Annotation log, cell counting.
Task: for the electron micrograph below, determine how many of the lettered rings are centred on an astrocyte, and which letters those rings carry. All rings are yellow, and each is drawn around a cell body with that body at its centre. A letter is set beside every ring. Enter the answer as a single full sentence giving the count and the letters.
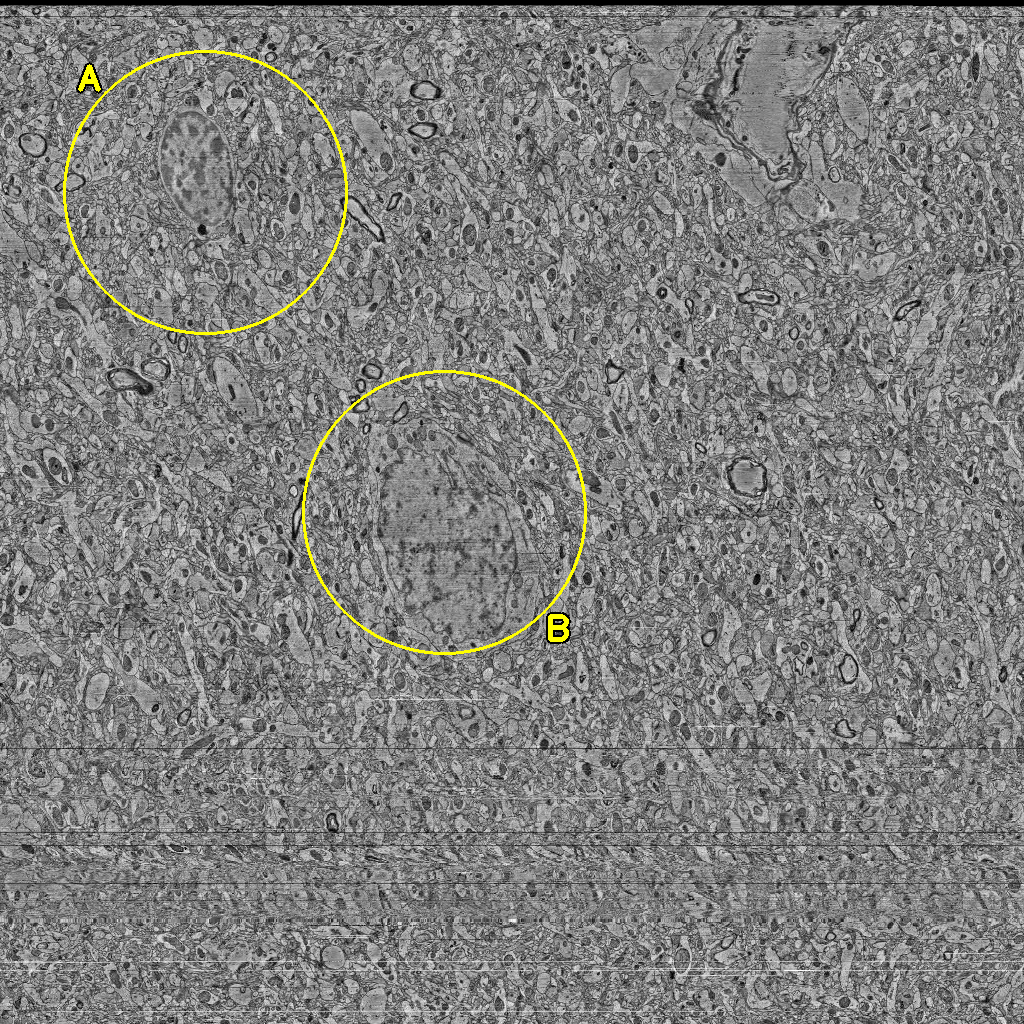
A search of the yellow rings finds none centred on an astrocyte, so the number is zero.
